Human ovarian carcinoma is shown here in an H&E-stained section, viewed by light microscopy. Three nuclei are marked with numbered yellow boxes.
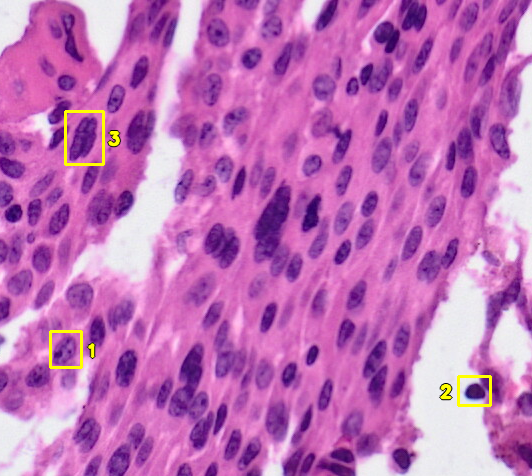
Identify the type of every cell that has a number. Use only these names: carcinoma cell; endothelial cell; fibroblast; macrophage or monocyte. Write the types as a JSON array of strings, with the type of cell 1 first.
["macrophage or monocyte", "carcinoma cell", "carcinoma cell"]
